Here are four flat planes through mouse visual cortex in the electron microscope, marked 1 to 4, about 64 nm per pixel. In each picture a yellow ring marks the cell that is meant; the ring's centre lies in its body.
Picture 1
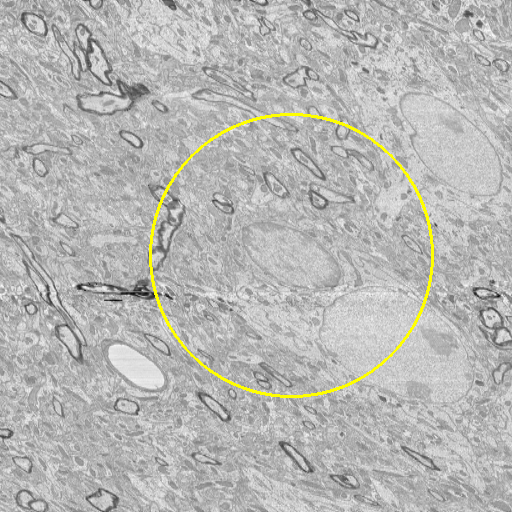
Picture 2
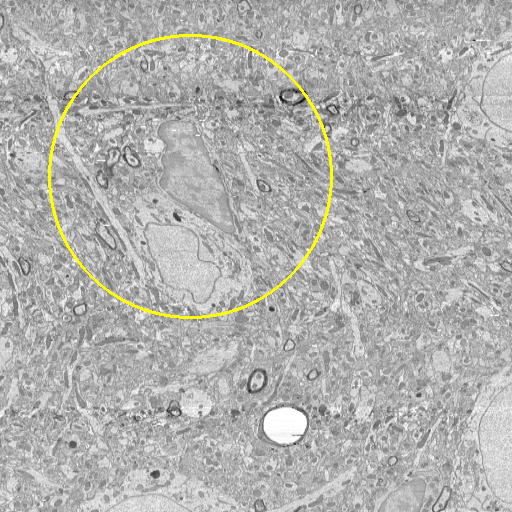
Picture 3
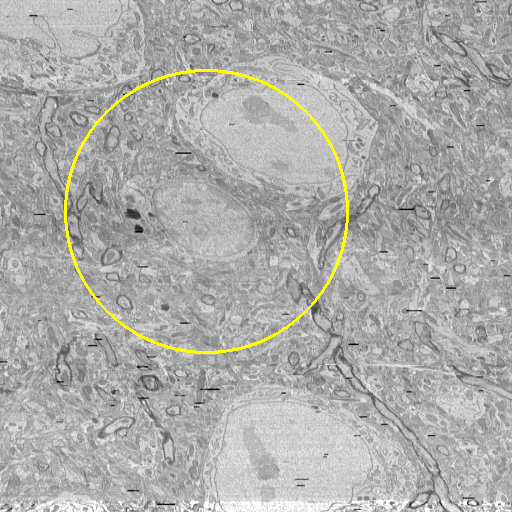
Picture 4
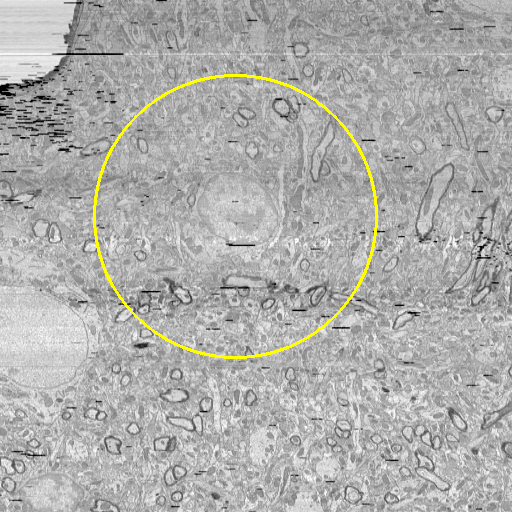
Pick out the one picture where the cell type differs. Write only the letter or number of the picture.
2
